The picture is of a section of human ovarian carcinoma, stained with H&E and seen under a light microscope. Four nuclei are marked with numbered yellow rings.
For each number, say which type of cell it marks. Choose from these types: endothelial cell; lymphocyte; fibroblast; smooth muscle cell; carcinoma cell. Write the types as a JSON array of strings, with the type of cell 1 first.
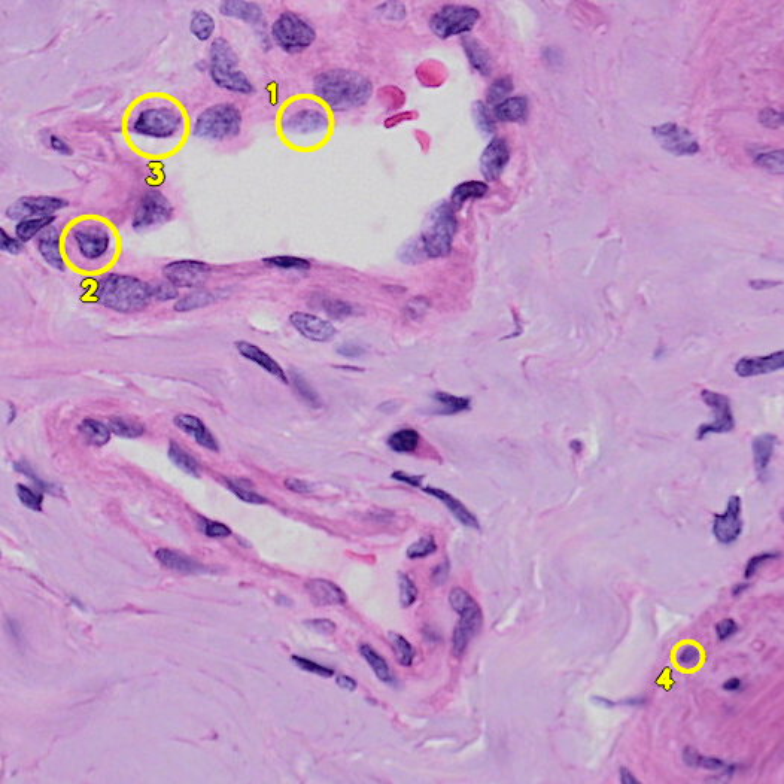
["endothelial cell", "endothelial cell", "endothelial cell", "smooth muscle cell"]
